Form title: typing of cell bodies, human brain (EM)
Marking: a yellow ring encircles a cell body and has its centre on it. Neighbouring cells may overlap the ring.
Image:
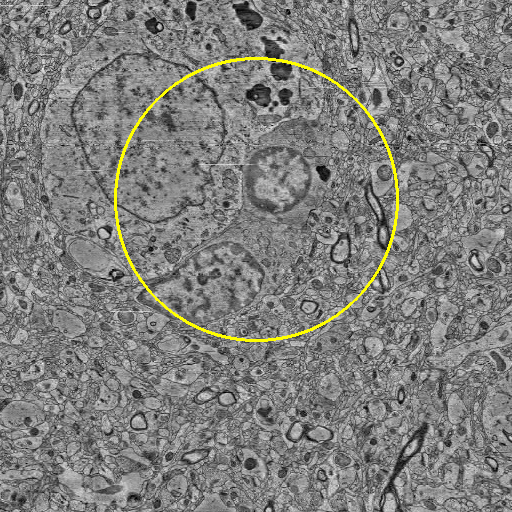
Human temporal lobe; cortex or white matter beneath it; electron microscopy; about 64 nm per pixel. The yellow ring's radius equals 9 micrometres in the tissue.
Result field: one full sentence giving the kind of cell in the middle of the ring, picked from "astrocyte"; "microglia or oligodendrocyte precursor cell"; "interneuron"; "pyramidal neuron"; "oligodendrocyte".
In the picture, the ring is centred on an oligodendrocyte, whose cell body it encircles.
